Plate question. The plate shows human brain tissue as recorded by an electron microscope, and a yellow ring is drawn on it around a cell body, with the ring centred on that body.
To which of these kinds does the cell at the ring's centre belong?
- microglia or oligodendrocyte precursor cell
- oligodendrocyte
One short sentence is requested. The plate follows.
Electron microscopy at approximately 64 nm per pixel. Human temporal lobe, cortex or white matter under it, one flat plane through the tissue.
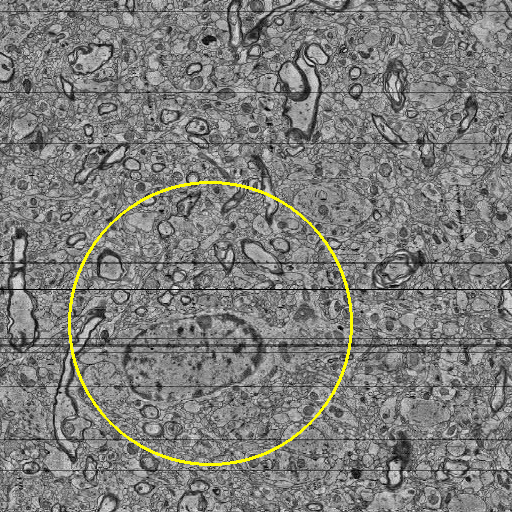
The cell at the ring's centre is a microglial cell or oligodendrocyte precursor cell.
